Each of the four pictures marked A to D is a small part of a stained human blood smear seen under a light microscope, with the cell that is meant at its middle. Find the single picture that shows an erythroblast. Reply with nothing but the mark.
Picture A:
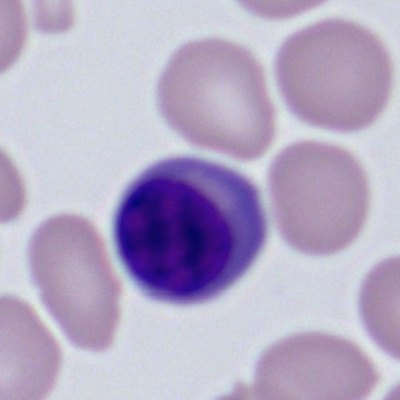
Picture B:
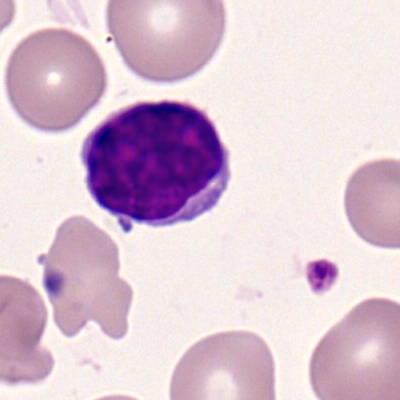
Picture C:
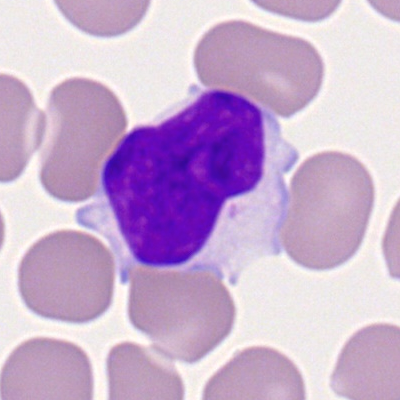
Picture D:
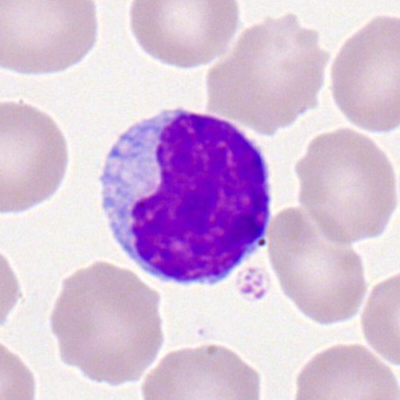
A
